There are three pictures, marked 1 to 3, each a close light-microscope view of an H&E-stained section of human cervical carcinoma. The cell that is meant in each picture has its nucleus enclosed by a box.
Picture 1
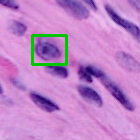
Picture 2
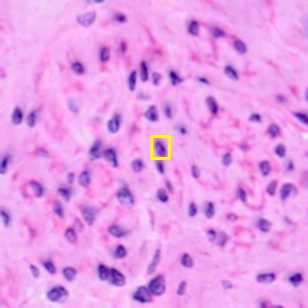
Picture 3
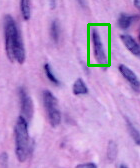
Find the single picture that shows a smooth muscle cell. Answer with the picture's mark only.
2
